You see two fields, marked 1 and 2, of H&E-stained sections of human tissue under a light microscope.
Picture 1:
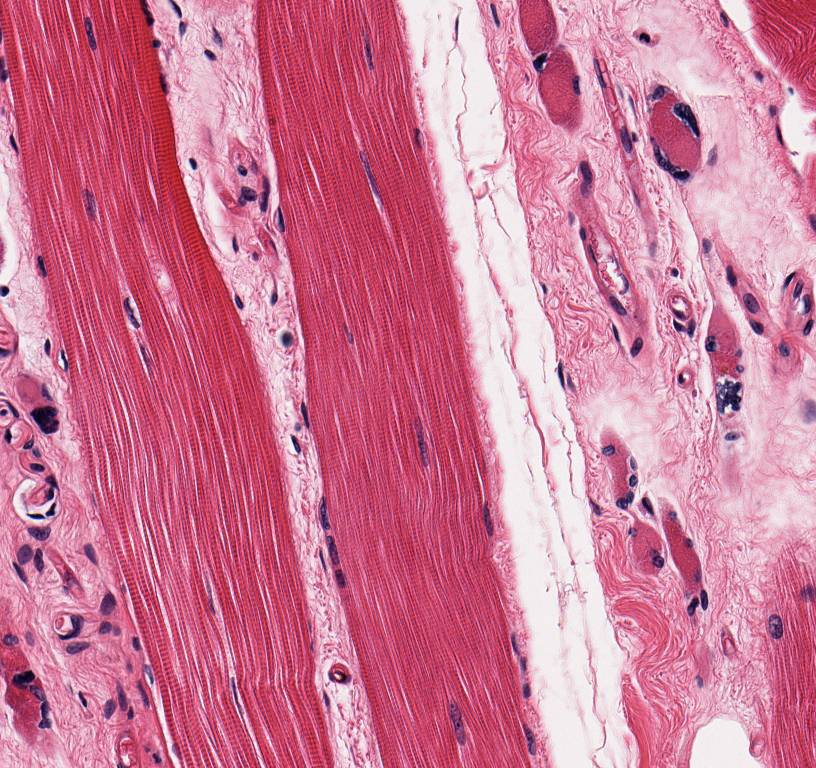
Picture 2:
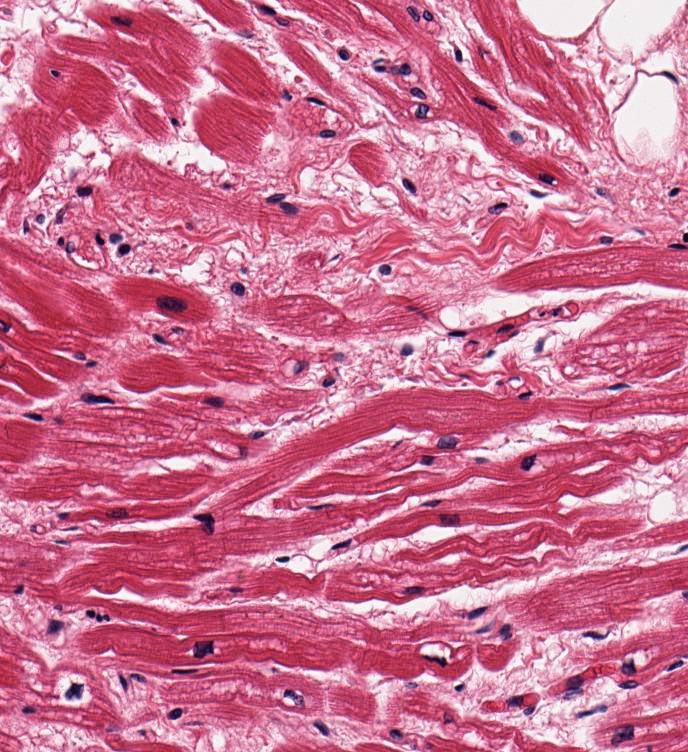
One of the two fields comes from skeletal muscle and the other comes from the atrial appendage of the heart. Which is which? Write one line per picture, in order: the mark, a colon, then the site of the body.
1: skeletal muscle
2: atrial appendage of the heart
